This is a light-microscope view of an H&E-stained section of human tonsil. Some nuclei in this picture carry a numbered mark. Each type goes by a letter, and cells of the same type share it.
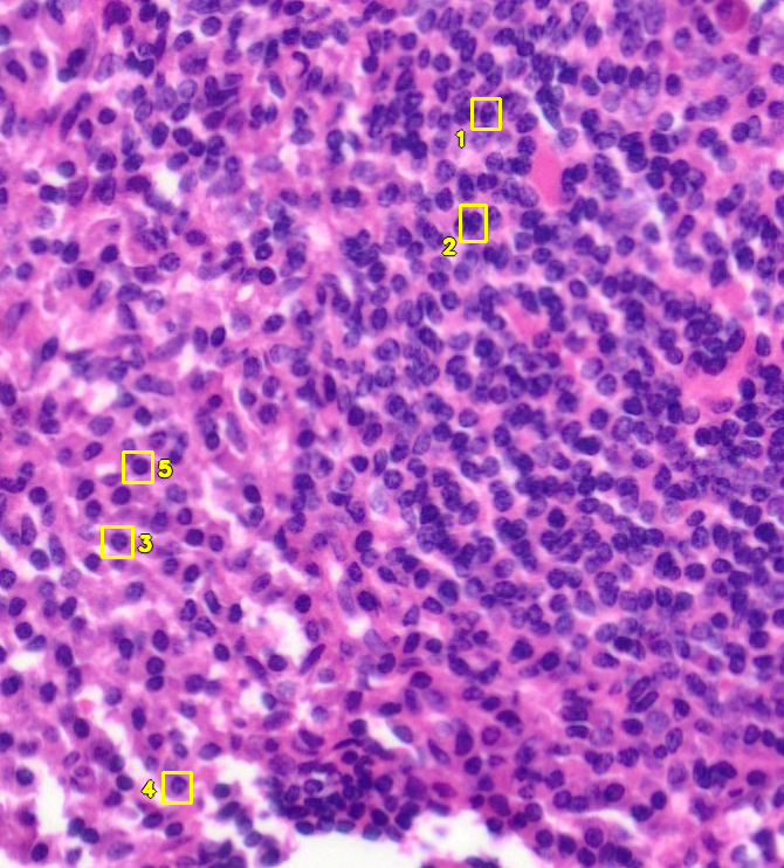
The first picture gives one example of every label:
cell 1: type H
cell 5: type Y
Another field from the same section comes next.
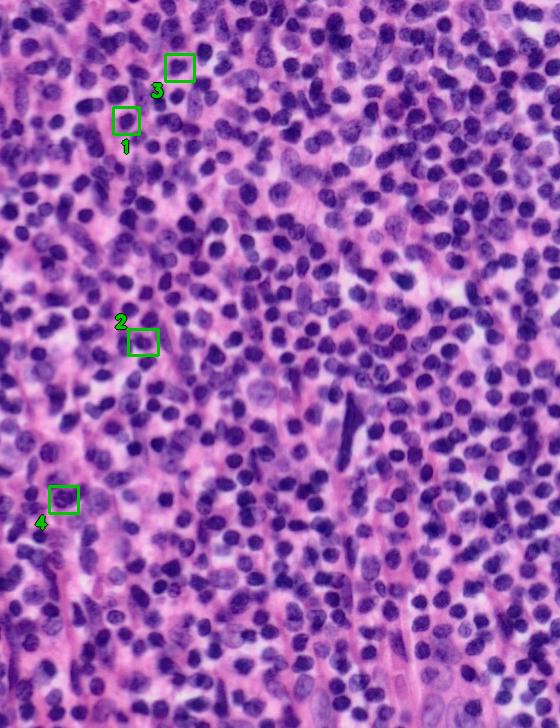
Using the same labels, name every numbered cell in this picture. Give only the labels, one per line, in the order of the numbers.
type H
type H
type H
type Y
